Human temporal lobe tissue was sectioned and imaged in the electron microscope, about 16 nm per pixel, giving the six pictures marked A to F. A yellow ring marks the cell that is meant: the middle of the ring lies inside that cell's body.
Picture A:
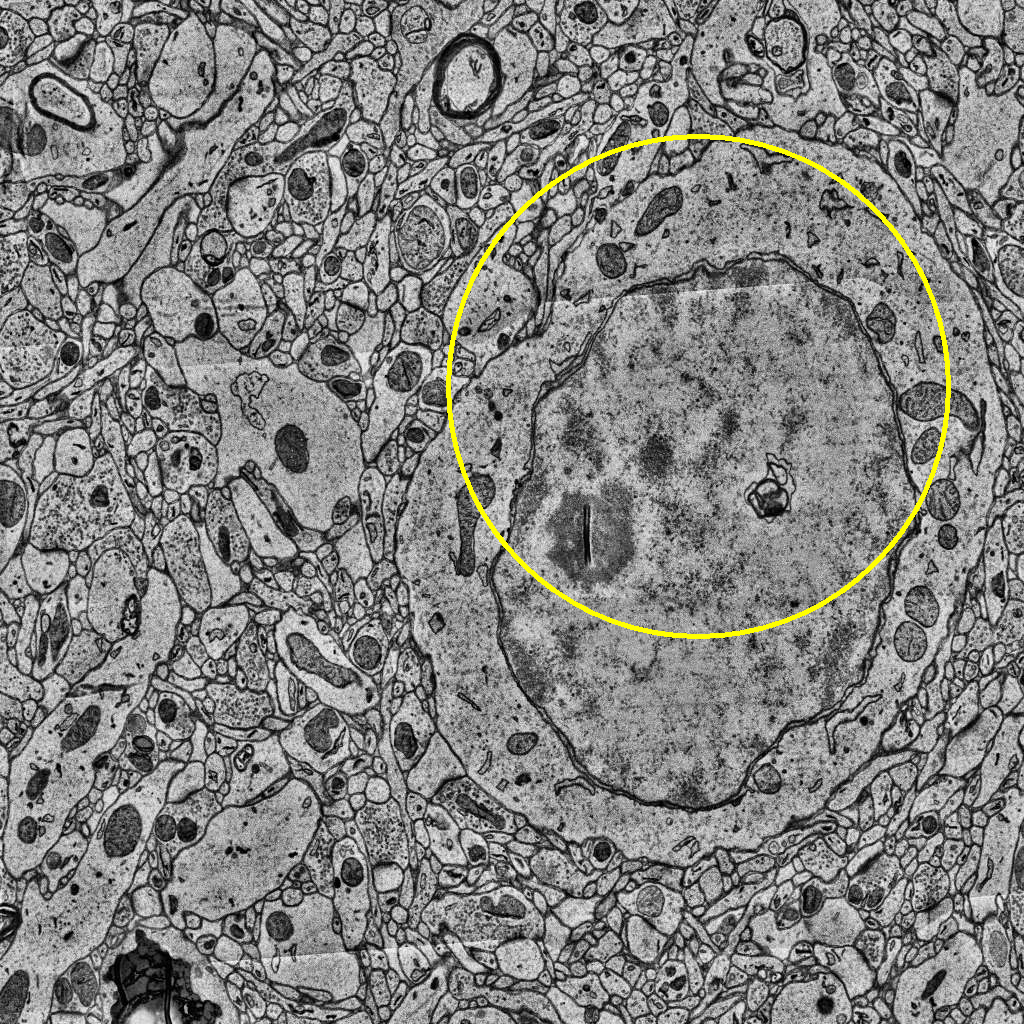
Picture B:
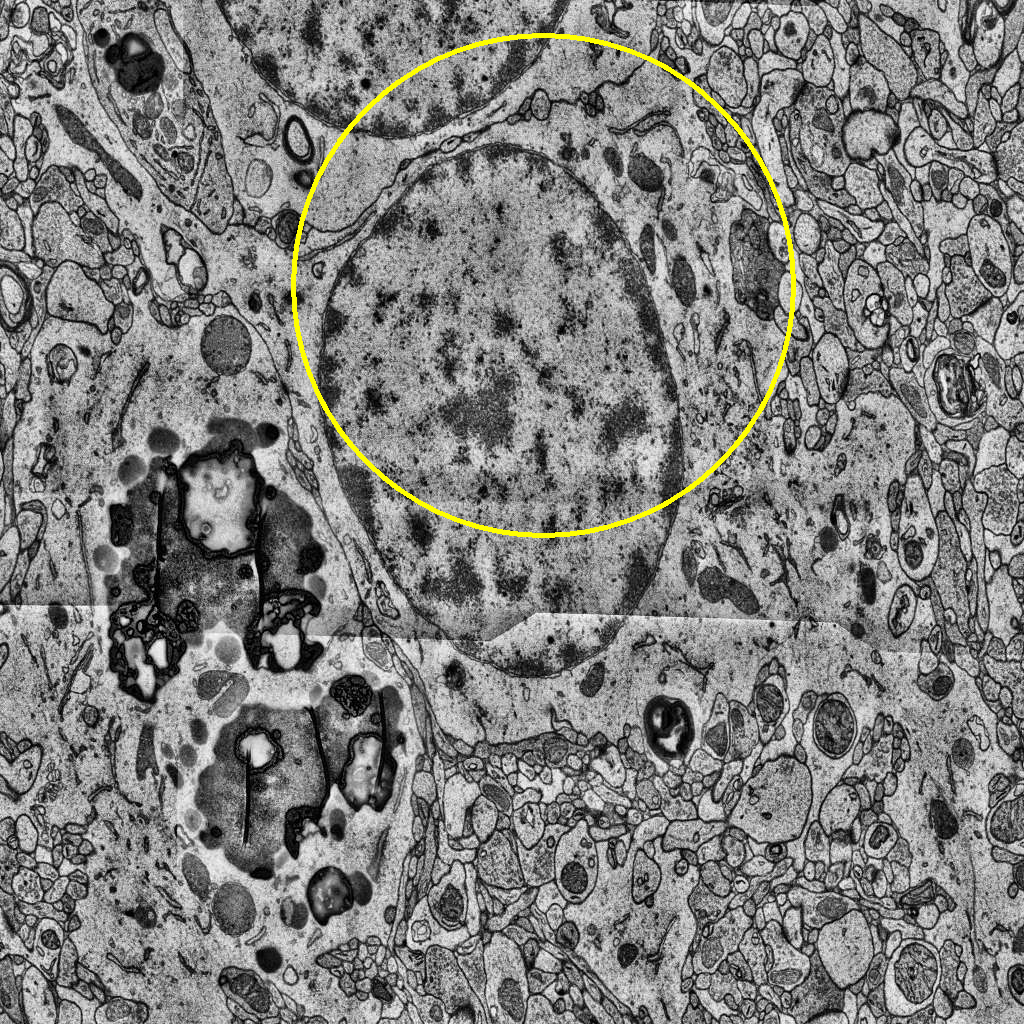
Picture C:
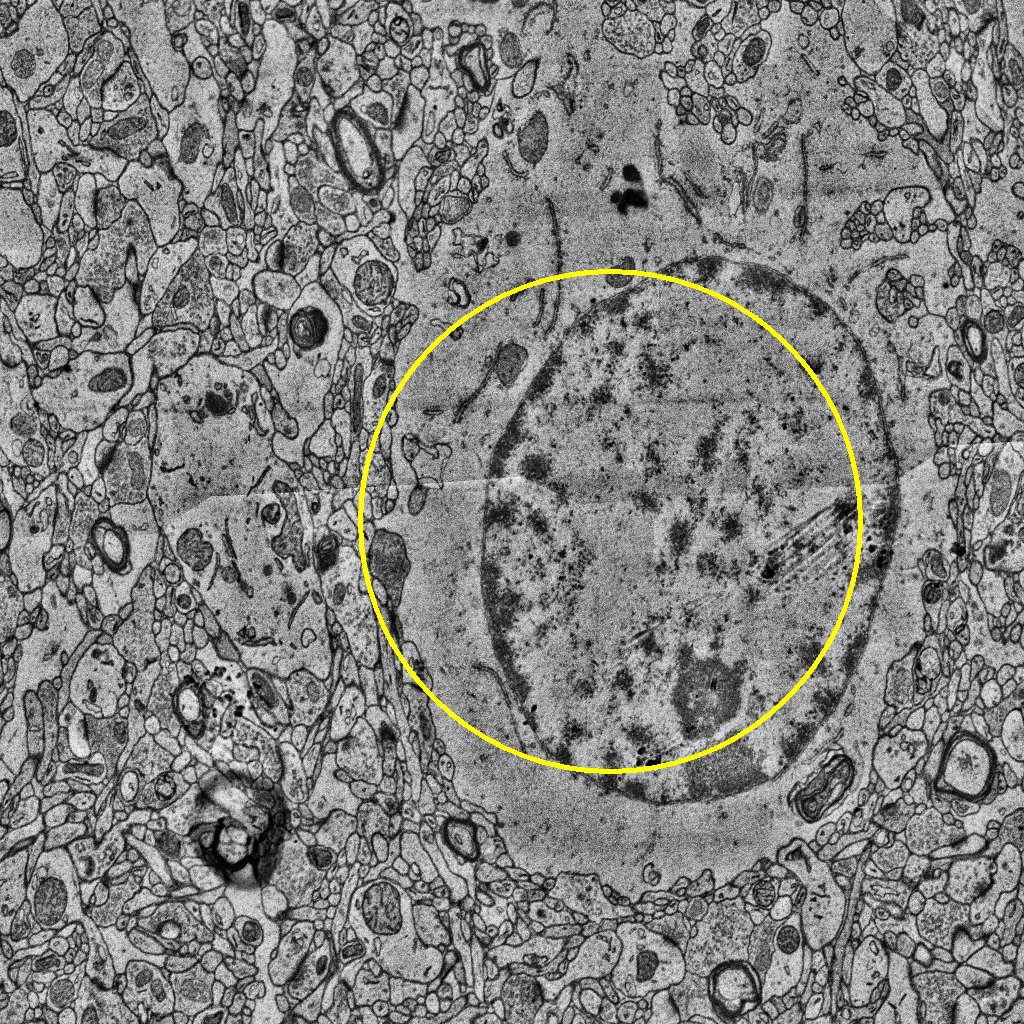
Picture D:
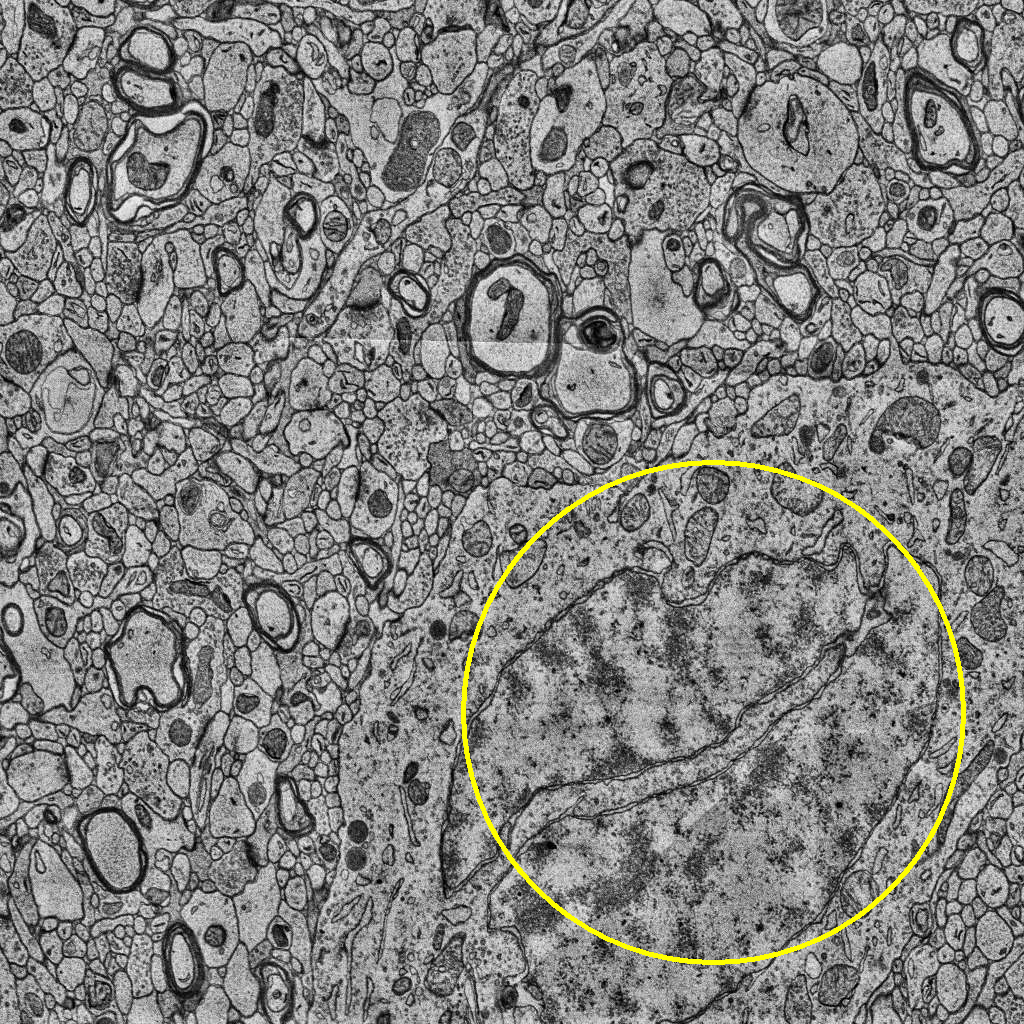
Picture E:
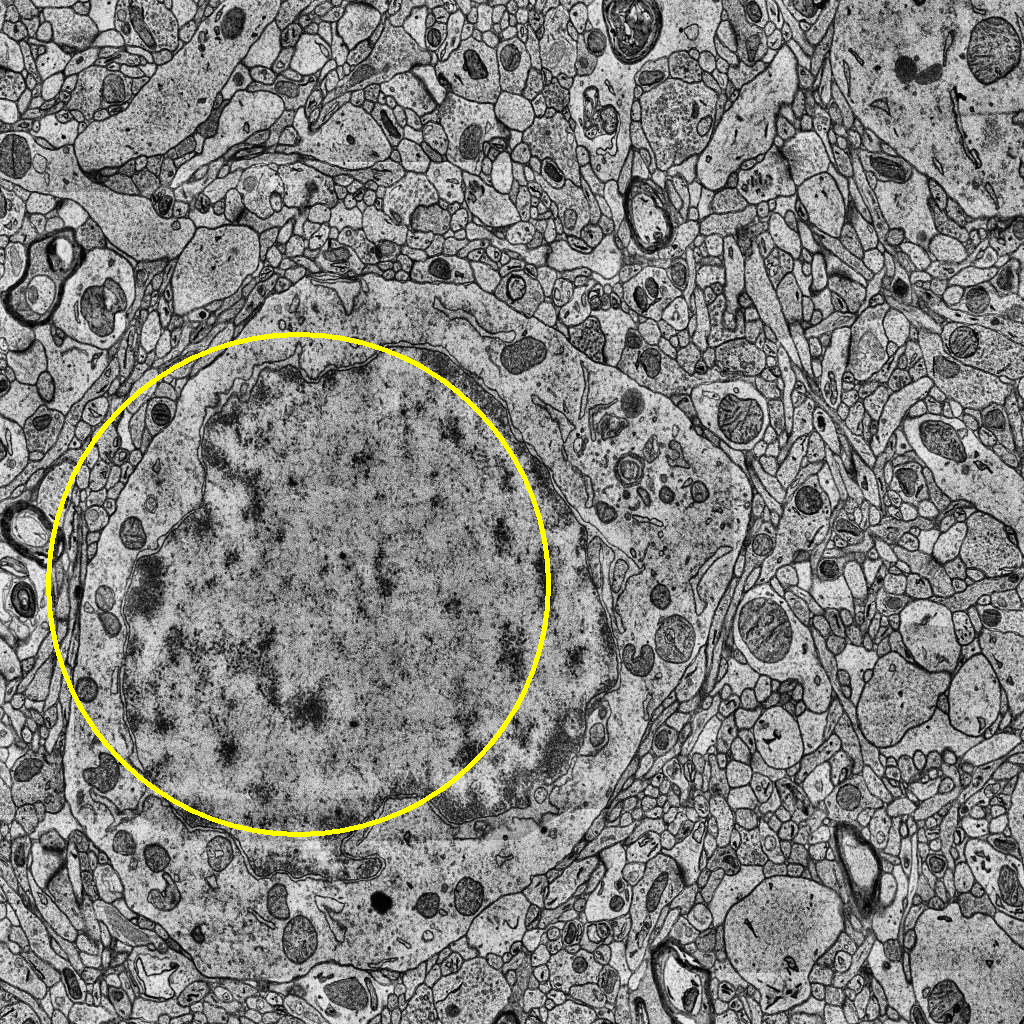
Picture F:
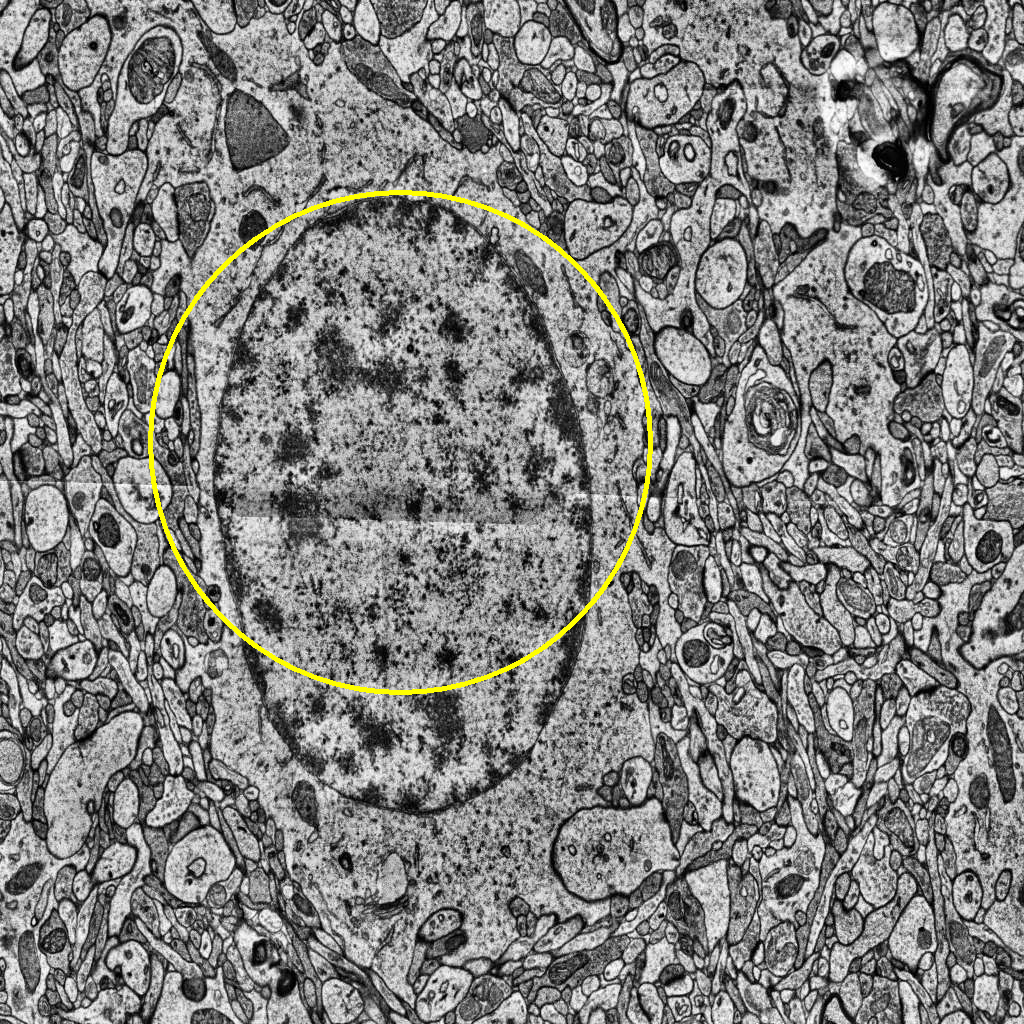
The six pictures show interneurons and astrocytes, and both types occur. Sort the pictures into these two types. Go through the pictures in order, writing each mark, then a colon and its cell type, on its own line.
A: interneuron
B: astrocyte
C: astrocyte
D: interneuron
E: interneuron
F: astrocyte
